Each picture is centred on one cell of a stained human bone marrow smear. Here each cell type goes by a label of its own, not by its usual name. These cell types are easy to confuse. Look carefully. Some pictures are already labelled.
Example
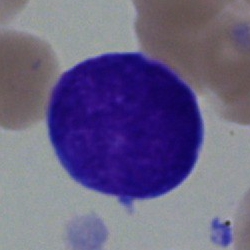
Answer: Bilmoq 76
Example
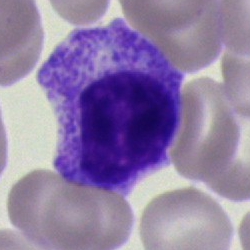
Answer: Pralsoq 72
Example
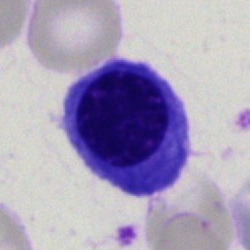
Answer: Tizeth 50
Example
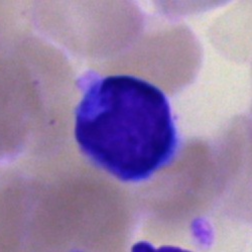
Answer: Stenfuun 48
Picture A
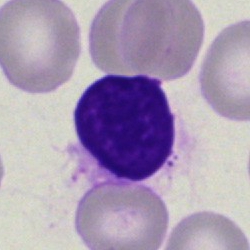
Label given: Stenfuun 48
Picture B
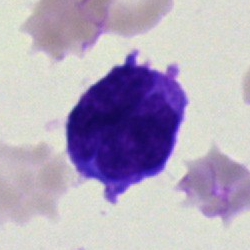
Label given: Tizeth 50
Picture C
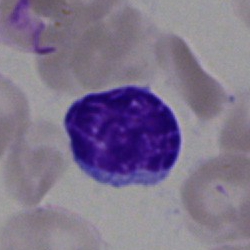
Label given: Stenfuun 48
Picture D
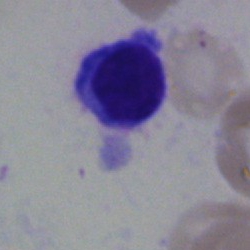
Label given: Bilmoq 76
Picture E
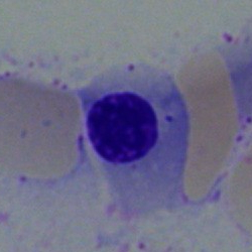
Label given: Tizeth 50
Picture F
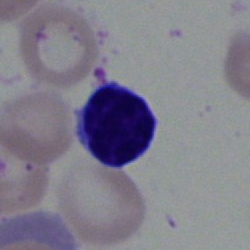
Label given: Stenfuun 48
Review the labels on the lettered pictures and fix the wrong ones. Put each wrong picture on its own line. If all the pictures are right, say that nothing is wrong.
B: change Tizeth 50 to Bilmoq 76
D: change Bilmoq 76 to Stenfuun 48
